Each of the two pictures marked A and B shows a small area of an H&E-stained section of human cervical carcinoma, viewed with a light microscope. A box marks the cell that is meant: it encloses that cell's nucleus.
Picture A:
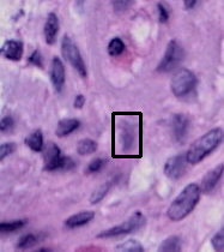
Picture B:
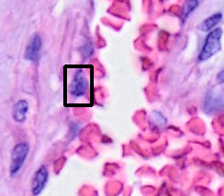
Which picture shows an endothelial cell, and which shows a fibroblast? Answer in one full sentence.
Picture A is of a fibroblast, and picture B is of an endothelial cell.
